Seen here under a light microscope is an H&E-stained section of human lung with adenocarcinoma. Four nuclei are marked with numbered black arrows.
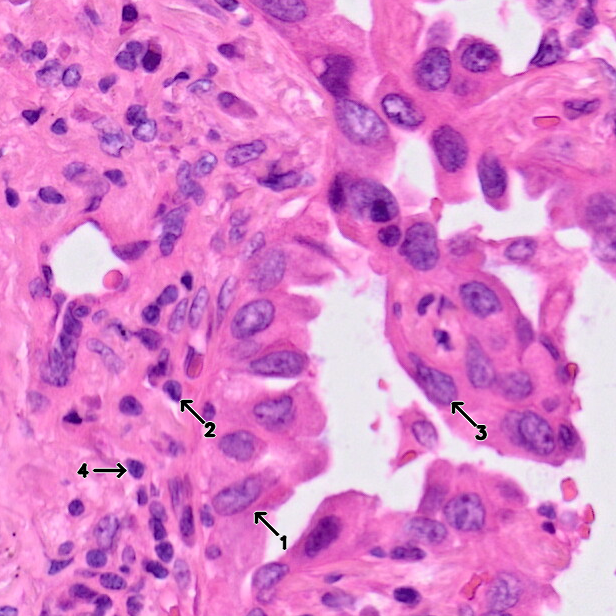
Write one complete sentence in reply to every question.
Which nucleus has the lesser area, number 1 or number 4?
The smaller nucleus is 4, and 1 covers roughly 4 times its area.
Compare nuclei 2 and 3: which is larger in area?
Nucleus 3 is larger, with an area about 4 times that of nucleus 2.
